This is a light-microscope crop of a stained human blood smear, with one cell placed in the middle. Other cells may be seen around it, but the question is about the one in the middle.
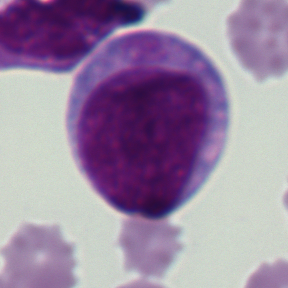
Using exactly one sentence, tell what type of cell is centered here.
On this slide crop, the central cell is a myeloblast.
